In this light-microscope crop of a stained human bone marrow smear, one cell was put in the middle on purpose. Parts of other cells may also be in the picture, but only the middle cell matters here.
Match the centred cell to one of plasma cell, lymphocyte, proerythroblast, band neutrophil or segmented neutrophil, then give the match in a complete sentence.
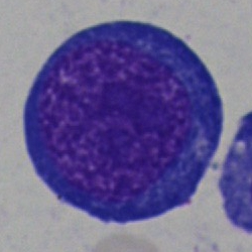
In the middle of this smear crop is a proerythroblast.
